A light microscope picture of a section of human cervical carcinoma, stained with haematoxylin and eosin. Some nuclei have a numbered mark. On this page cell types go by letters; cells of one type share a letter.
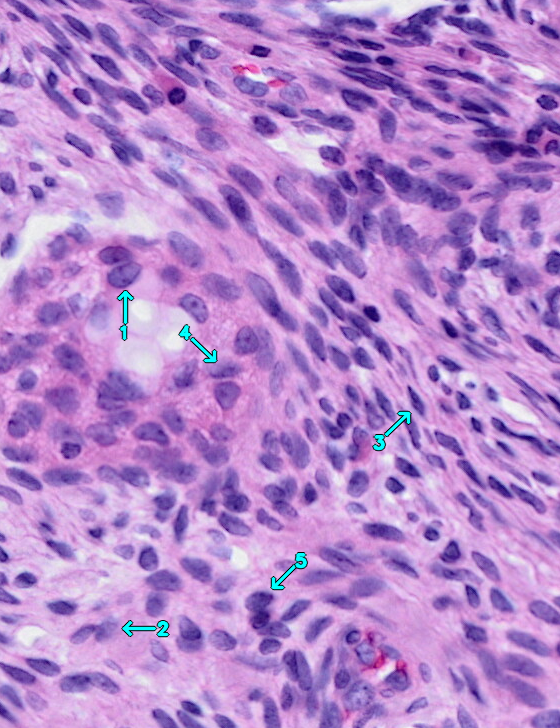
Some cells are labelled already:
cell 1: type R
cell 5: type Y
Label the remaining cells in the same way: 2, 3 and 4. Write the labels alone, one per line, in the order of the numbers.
type Y
type Y
type R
